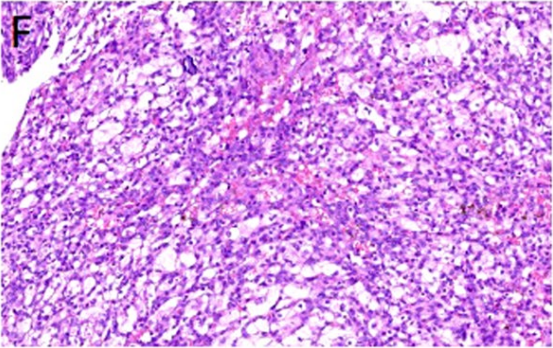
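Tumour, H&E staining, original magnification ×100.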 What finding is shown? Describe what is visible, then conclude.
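Focal haemorrhage. Clusters of red blood cells lie free within the tumour. Pink-red streaks run across the middle of the field. Small brown granules lie near the red areas.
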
